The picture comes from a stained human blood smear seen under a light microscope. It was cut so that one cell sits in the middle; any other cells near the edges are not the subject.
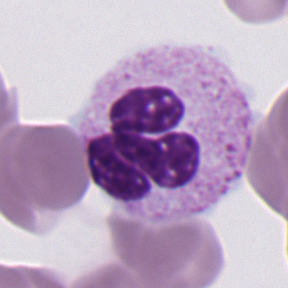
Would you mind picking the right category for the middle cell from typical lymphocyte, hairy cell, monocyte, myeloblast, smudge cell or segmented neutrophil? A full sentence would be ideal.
The cell at the middle of the crop is recognized as a segmented neutrophil.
